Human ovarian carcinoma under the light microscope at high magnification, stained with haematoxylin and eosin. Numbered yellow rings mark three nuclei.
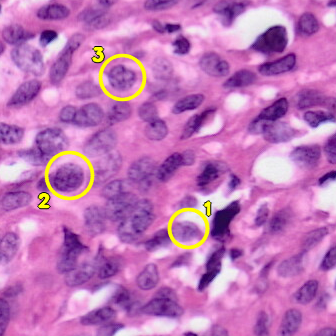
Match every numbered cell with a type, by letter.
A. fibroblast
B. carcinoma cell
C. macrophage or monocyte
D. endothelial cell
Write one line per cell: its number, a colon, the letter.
1: B
2: B
3: C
